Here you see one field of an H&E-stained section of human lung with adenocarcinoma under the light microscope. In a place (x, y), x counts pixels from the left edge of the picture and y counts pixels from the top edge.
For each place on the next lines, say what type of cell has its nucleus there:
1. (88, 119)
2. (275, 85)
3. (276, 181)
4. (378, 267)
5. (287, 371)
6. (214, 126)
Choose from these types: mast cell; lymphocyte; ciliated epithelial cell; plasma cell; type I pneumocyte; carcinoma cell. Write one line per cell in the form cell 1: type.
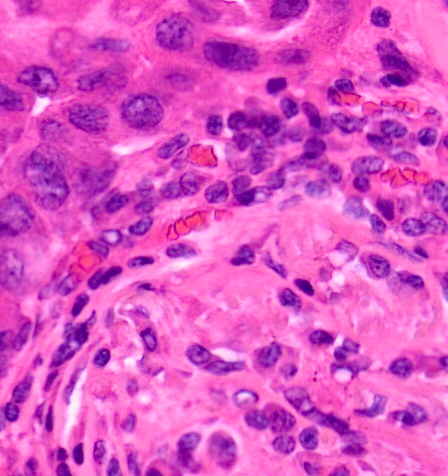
cell 1: carcinoma cell
cell 2: lymphocyte
cell 3: lymphocyte
cell 4: plasma cell
cell 5: plasma cell
cell 6: lymphocyte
